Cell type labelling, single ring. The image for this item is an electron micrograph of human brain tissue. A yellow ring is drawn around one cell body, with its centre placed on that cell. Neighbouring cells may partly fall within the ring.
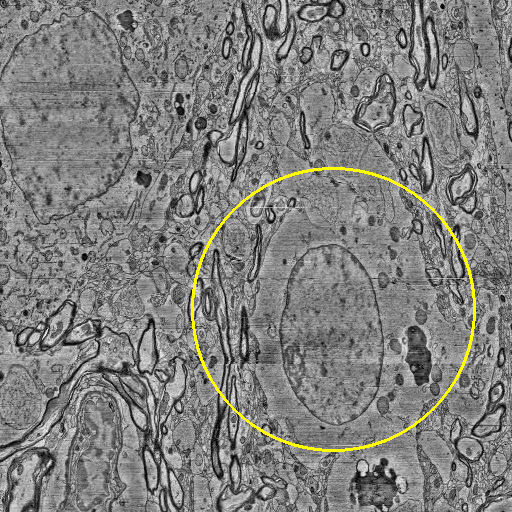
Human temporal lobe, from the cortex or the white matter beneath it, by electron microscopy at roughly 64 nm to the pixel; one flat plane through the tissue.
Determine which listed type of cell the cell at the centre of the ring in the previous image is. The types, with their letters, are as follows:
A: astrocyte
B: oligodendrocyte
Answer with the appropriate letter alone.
A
